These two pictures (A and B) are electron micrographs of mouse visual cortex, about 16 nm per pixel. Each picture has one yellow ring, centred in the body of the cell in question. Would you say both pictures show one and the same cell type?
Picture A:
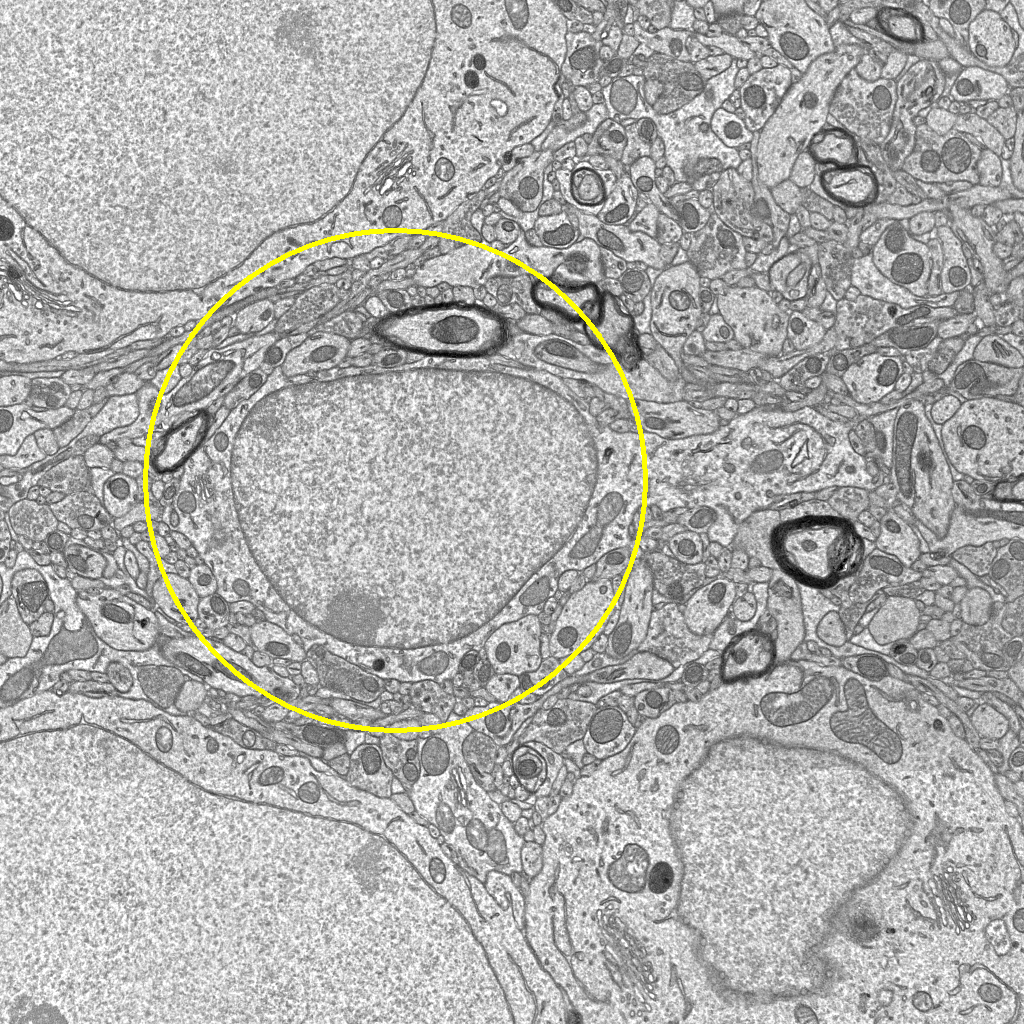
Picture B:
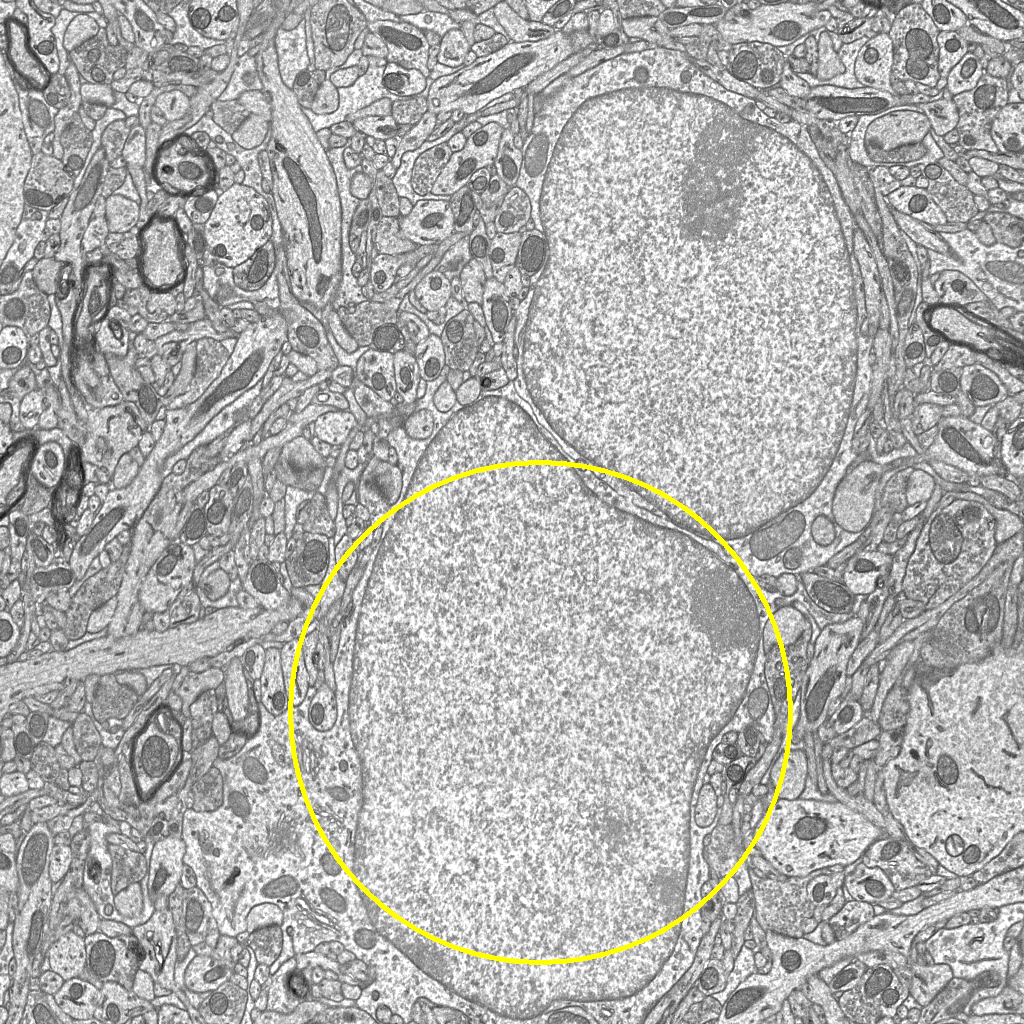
Yes, the two pictures both show astrocytes.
